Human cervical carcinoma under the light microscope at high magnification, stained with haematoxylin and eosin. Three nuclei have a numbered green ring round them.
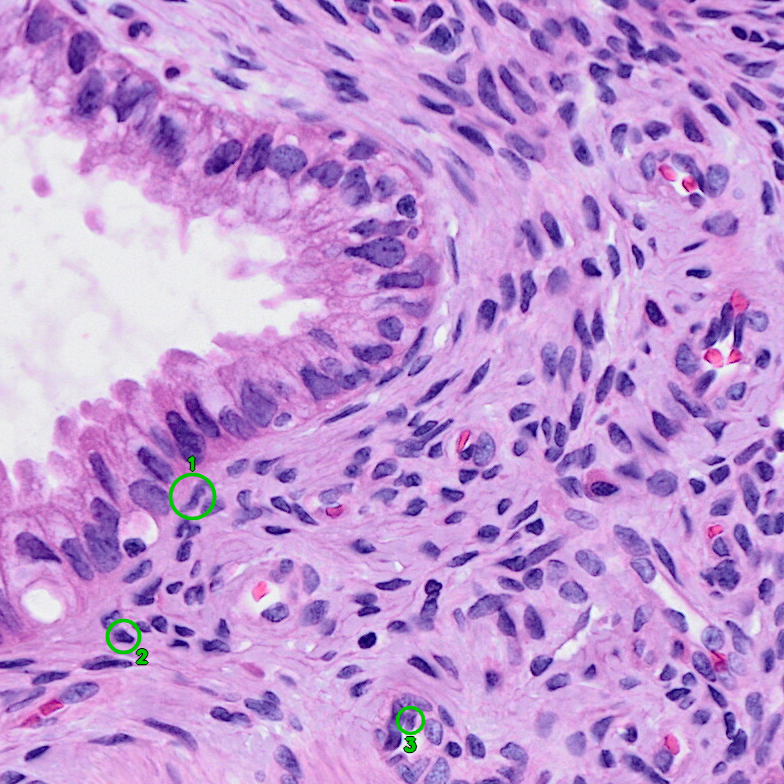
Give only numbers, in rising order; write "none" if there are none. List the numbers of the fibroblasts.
1, 2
